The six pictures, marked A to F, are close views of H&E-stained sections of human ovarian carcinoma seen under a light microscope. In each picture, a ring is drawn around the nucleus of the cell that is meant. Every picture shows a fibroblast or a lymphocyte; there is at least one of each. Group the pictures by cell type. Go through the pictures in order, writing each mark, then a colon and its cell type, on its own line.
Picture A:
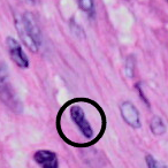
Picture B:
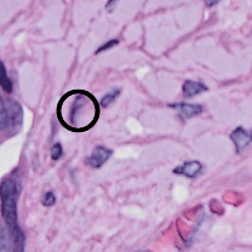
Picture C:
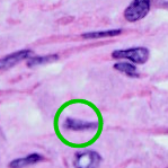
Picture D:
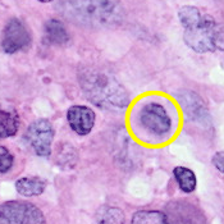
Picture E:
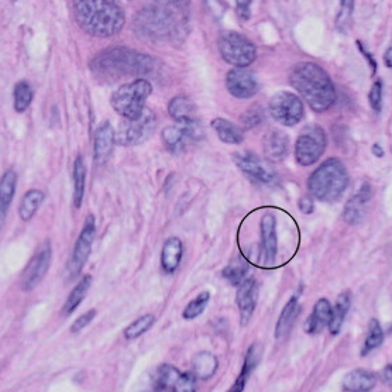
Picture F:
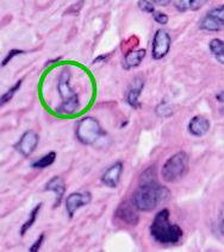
A: lymphocyte
B: fibroblast
C: fibroblast
D: lymphocyte
E: fibroblast
F: fibroblast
